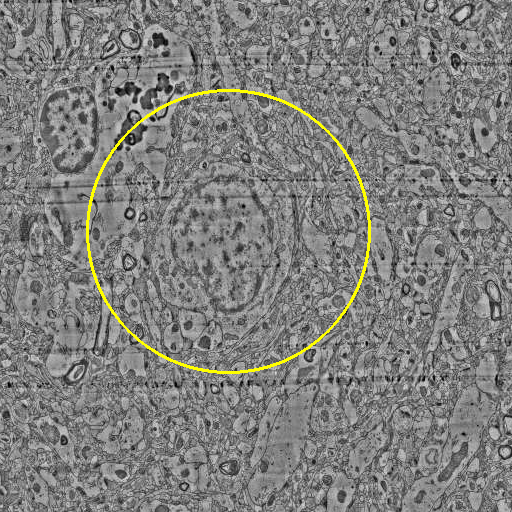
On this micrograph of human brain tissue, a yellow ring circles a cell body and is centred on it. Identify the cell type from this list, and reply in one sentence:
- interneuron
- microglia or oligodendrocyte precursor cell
The cell at the centre is an interneuron.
